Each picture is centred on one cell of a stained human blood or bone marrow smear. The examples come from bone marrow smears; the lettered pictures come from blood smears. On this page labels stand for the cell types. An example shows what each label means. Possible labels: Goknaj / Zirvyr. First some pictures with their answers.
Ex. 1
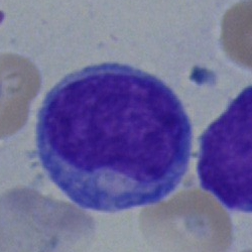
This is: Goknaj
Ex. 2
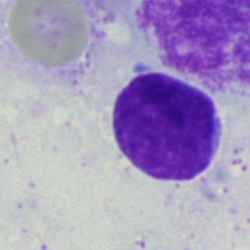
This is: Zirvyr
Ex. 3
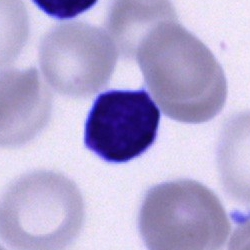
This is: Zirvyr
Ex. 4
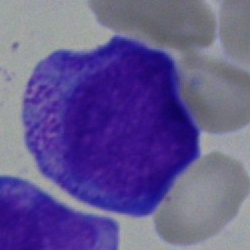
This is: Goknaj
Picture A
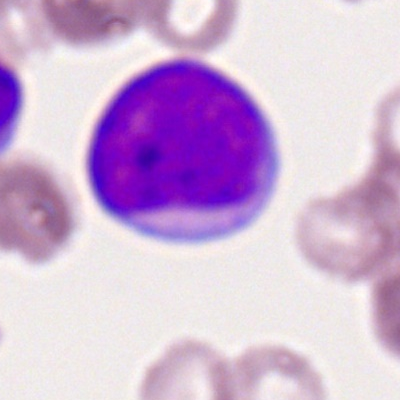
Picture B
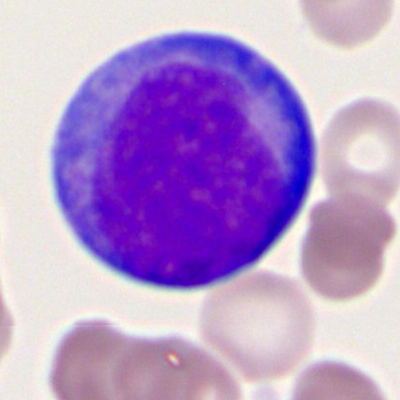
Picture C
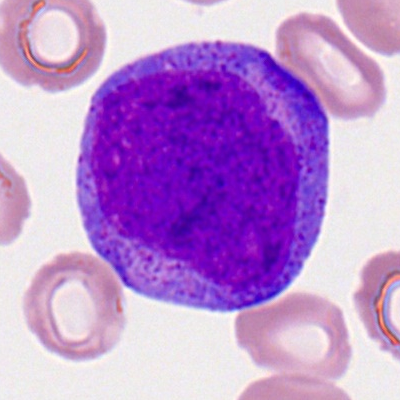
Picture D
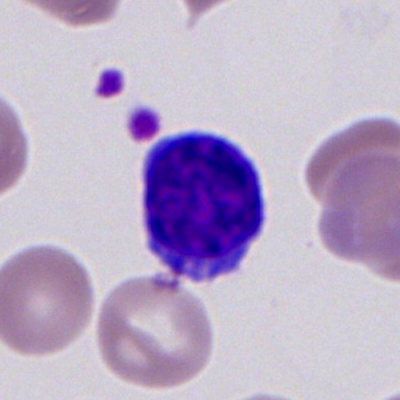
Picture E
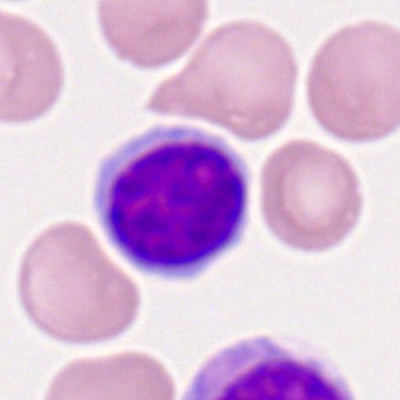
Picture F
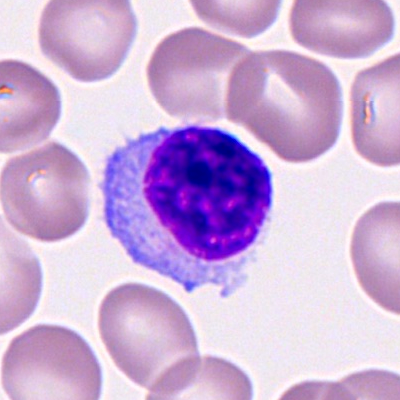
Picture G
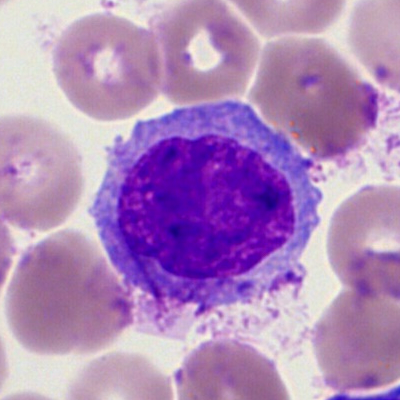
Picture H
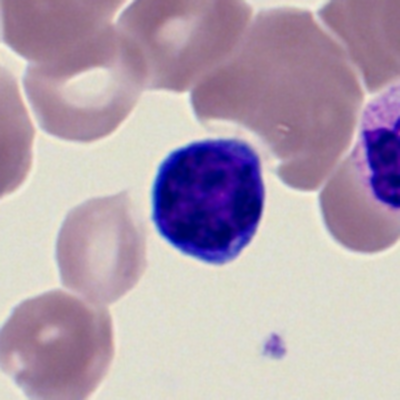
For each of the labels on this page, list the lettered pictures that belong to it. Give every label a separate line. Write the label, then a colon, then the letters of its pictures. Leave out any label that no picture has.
Goknaj: A, B, C, G
Zirvyr: D, E, F, H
